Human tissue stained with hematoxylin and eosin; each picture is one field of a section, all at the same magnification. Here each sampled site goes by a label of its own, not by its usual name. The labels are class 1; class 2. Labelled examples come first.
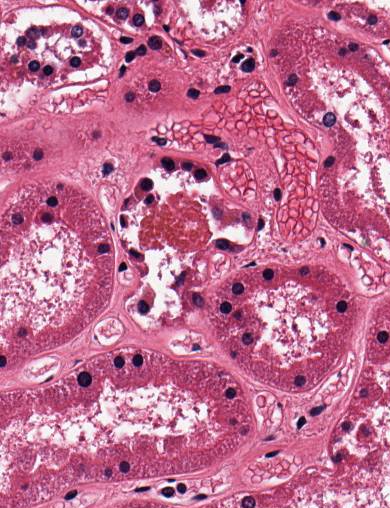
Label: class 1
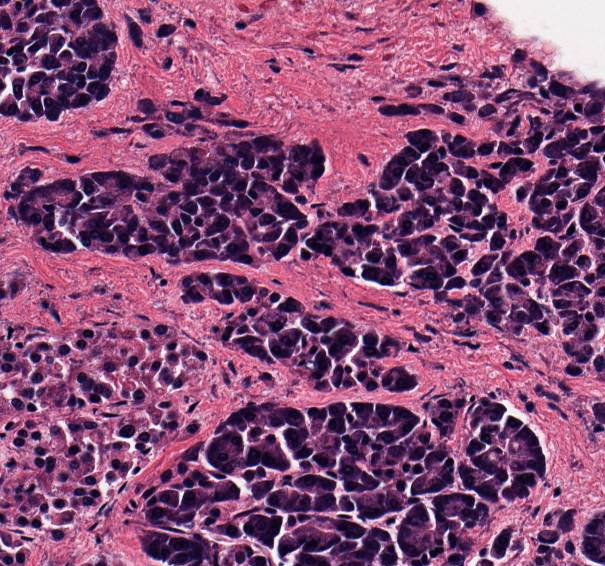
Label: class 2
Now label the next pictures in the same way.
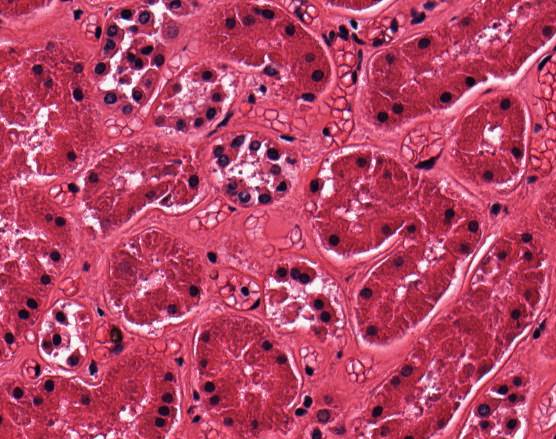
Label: class 1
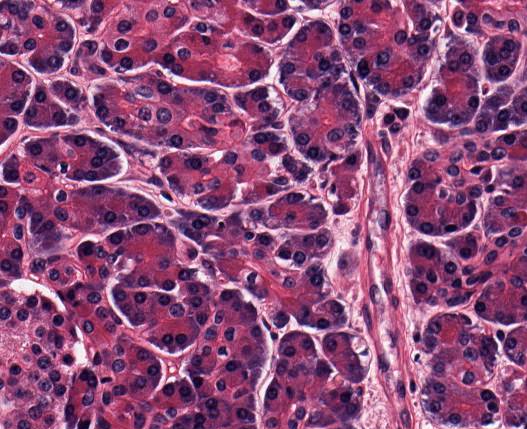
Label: class 2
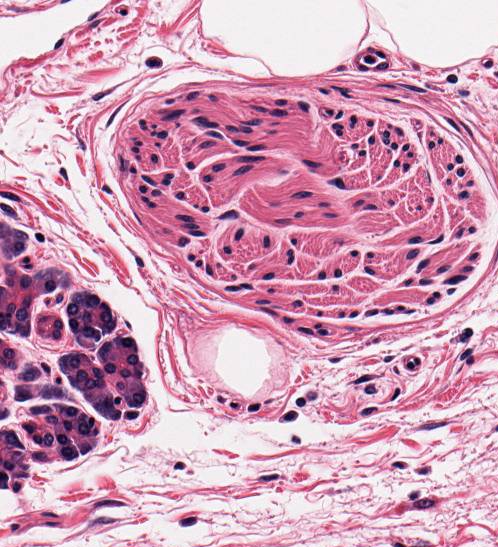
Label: class 2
